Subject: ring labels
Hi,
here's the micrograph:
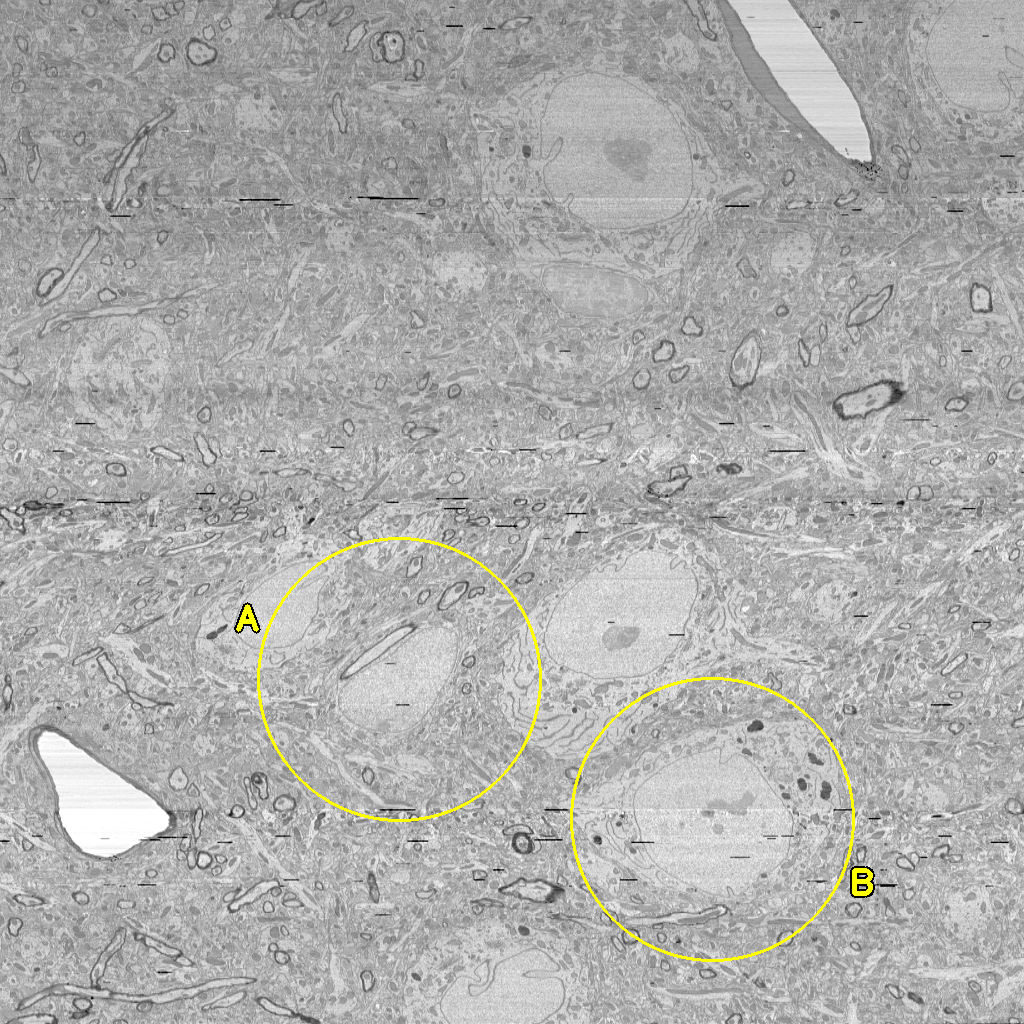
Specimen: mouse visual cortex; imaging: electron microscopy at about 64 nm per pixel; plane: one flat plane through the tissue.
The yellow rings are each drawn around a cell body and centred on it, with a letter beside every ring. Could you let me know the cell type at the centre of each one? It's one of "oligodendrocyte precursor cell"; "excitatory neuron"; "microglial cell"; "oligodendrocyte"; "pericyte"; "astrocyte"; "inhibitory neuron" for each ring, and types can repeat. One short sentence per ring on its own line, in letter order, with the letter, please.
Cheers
The type at the centre of ring A is an astrocyte.
The type at the centre of ring B is an excitatory neuron.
